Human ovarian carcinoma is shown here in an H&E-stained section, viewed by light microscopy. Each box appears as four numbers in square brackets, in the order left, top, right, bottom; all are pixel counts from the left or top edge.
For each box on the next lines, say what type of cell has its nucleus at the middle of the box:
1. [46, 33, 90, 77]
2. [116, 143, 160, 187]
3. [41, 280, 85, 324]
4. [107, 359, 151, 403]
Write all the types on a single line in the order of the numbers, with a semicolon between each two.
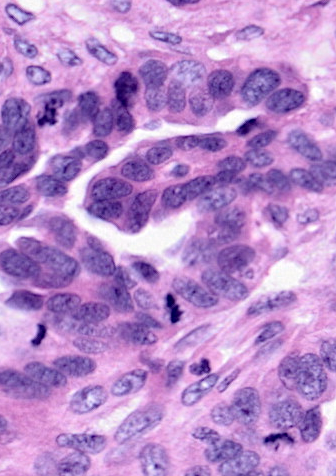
fibroblast; carcinoma cell; carcinoma cell; fibroblast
